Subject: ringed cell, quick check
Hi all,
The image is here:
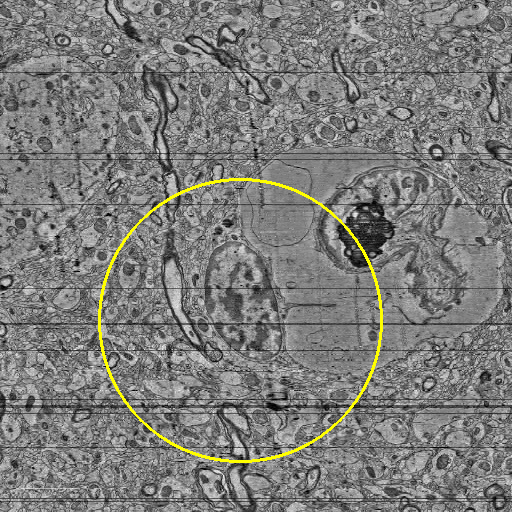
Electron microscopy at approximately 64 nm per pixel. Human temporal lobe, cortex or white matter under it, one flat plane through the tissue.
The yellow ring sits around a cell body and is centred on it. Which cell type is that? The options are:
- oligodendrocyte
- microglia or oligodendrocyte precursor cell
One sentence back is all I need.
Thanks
That ringed cell is a microglial cell or oligodendrocyte precursor cell.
